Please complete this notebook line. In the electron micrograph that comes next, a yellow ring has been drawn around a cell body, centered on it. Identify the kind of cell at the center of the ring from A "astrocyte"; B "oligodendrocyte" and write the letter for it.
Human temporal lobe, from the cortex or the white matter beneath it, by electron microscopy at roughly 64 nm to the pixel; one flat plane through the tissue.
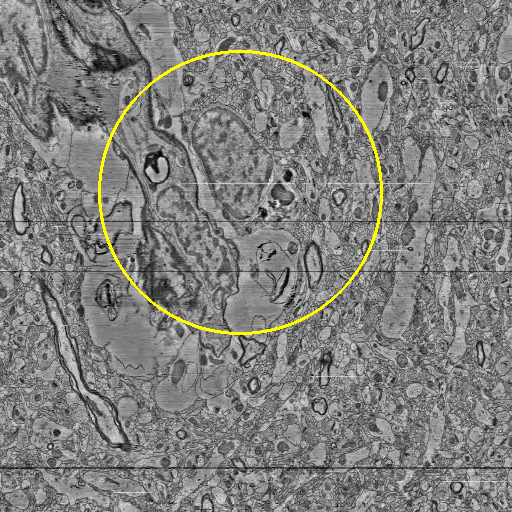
B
